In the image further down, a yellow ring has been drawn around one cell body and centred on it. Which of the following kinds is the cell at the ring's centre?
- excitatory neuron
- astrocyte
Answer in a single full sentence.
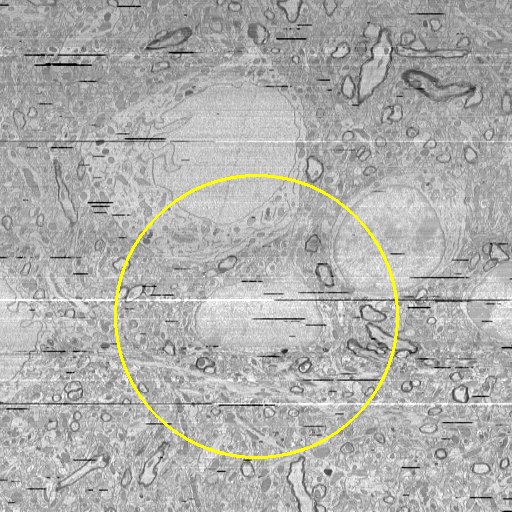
In the picture, the cell sitting at the centre of the yellow ring is an astrocyte.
